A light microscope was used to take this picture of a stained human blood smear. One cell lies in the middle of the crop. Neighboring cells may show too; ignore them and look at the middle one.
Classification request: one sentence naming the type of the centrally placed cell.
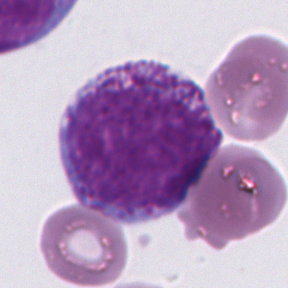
The cell the crop is centered on is a myelocyte.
